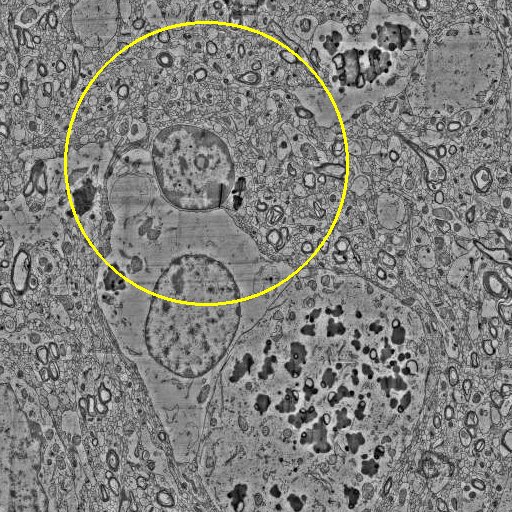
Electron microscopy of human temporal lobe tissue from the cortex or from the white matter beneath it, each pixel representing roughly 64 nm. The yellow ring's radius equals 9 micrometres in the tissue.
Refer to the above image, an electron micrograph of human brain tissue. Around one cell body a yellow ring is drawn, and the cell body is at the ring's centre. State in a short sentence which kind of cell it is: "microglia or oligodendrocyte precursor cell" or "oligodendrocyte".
The centre of the ring falls on a microglial cell or oligodendrocyte precursor cell.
